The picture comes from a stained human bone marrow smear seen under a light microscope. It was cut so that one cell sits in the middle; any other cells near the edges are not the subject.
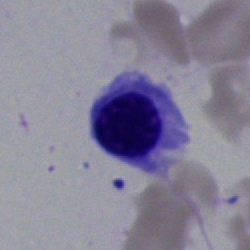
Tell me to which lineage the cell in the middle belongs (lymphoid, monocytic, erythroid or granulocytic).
erythroid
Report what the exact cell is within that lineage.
erythroblast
